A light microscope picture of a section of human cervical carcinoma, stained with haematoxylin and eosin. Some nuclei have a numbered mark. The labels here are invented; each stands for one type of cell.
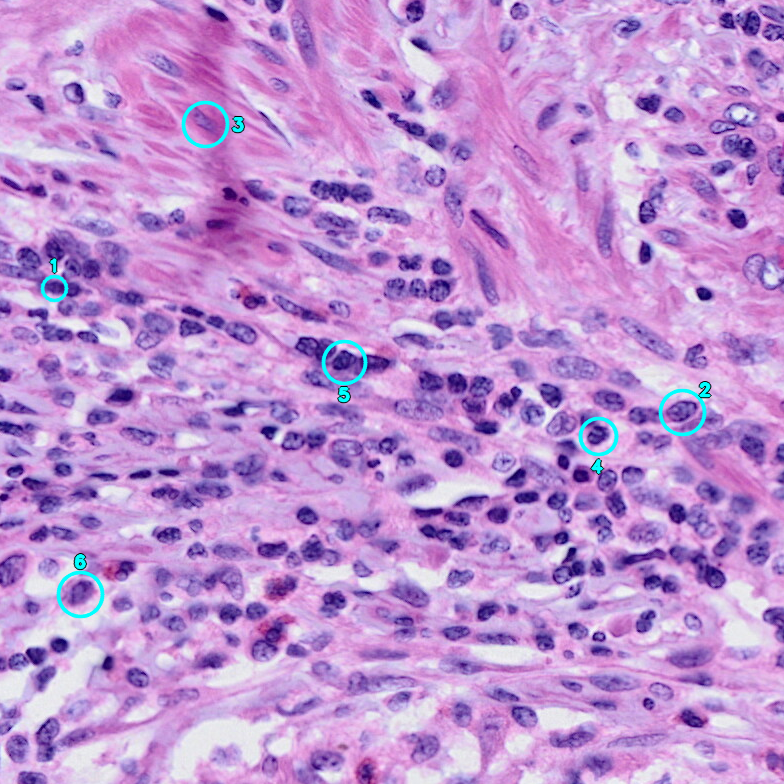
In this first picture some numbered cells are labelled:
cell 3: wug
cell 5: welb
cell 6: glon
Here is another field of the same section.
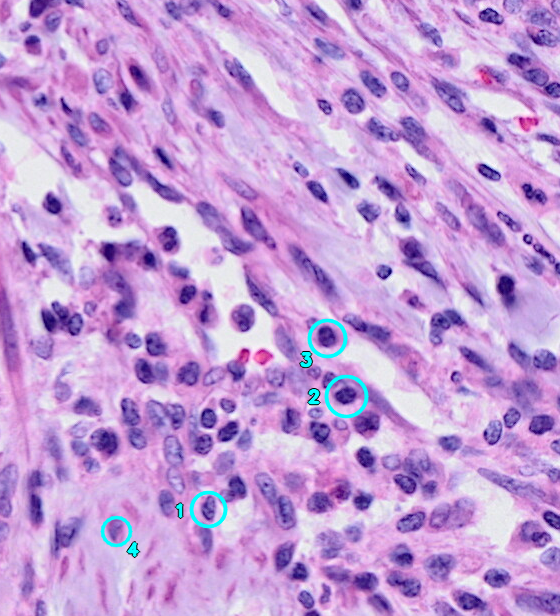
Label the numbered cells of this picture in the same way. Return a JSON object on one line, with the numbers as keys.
{"1": "welb", "2": "welb", "3": "welb", "4": "wug"}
